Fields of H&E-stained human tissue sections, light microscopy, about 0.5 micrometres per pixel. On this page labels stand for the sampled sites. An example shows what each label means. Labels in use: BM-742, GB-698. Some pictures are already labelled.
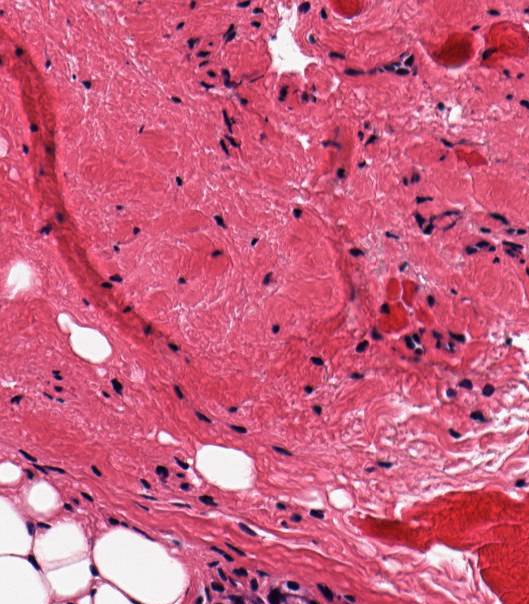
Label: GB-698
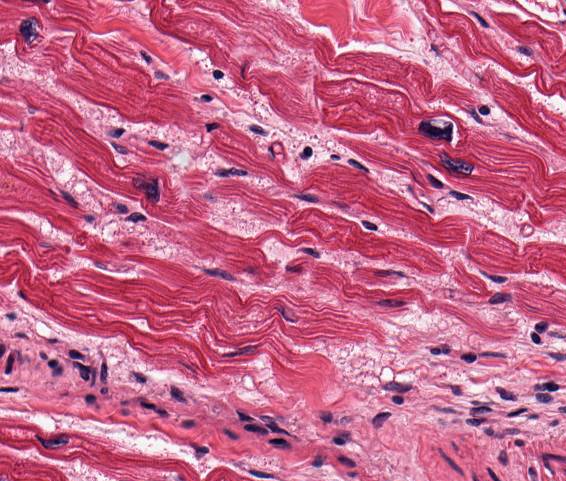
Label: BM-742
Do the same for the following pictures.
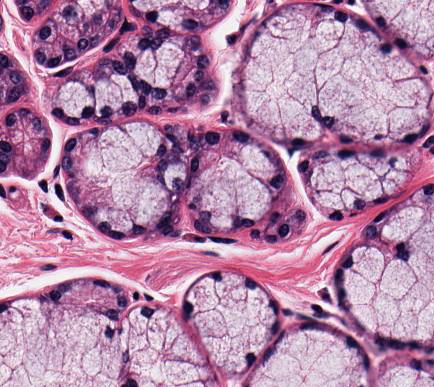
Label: GB-698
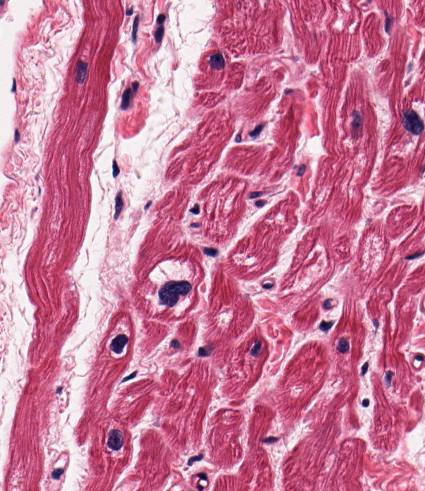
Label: BM-742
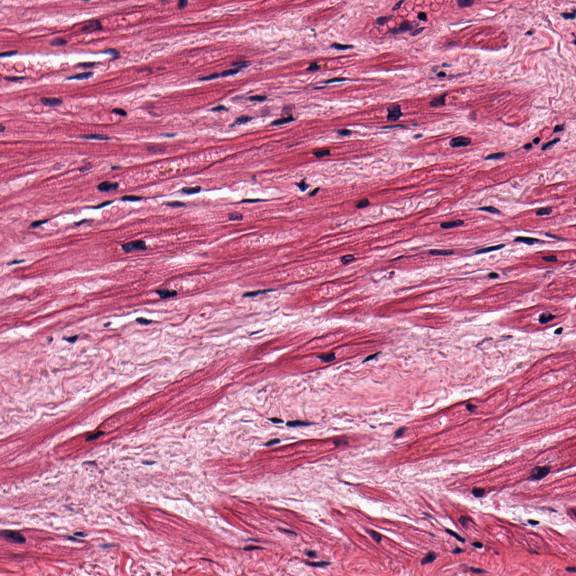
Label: BM-742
